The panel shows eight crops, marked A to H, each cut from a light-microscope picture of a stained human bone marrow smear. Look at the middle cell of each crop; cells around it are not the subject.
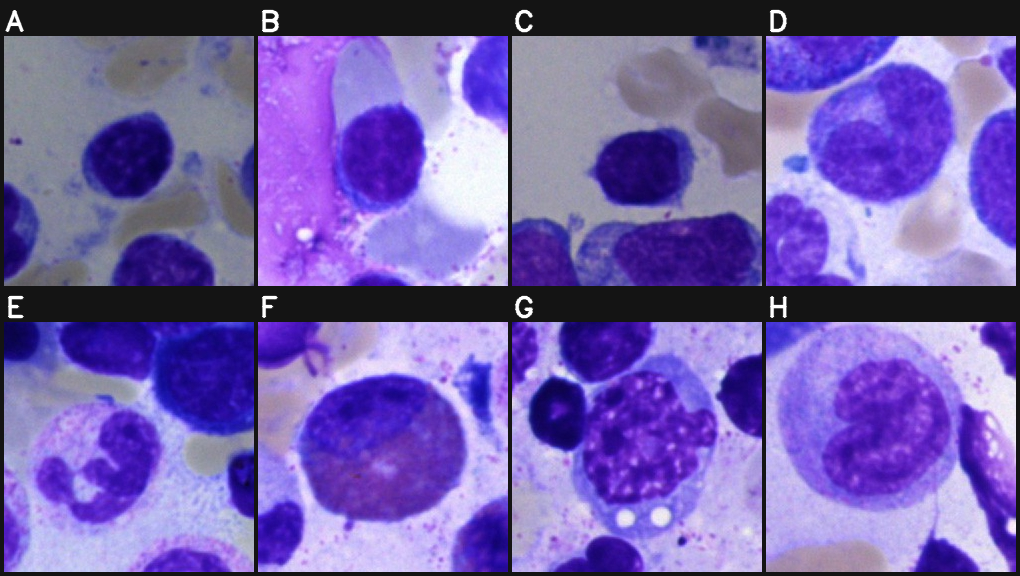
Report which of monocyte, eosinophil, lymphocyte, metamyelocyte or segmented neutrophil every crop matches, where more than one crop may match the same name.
A: lymphocyte
B: lymphocyte
C: lymphocyte
D: monocyte
E: segmented neutrophil
F: eosinophil
G: monocyte
H: monocyte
